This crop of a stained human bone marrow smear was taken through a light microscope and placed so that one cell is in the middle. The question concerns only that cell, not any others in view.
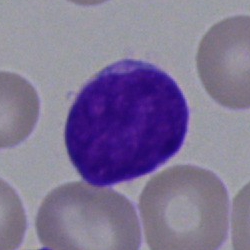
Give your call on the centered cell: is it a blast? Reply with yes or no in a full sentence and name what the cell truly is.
Yes, a blast is what the central cell is.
